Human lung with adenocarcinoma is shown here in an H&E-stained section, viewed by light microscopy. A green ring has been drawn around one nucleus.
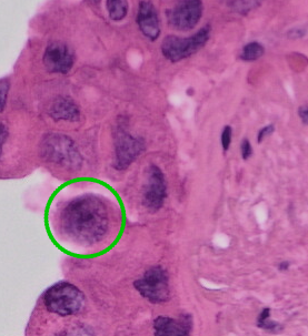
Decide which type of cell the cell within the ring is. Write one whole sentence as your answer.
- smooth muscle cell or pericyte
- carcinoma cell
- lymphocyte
By cell type, the cell within the ring is a carcinoma cell.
